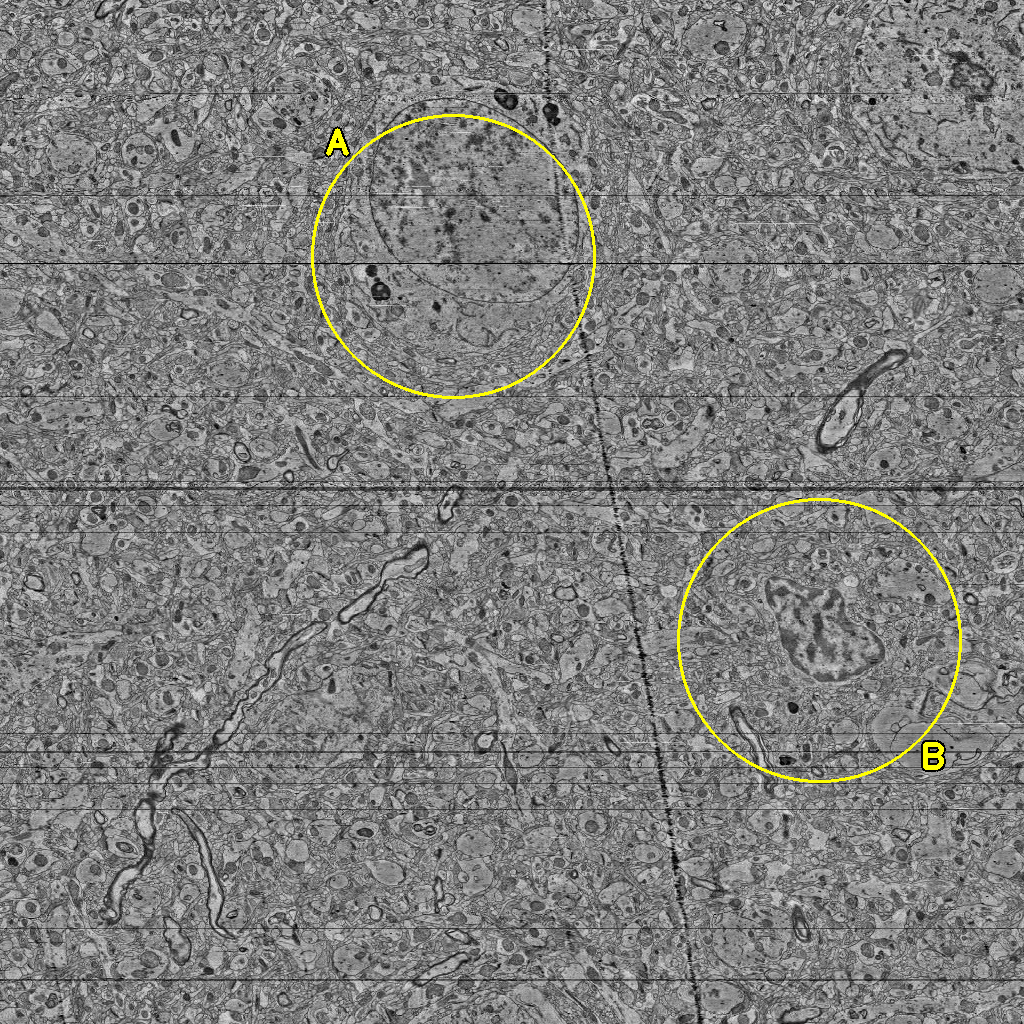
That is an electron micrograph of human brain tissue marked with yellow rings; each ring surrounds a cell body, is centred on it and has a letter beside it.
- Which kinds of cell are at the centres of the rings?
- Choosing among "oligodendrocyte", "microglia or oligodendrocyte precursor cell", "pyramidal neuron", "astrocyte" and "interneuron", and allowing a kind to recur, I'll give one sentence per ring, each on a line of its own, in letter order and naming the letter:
Ring A sits around a pyramidal neuron.
Ring B sits around a microglial cell or oligodendrocyte precursor cell.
